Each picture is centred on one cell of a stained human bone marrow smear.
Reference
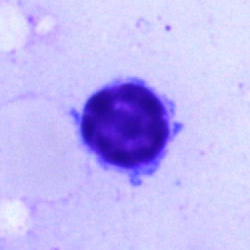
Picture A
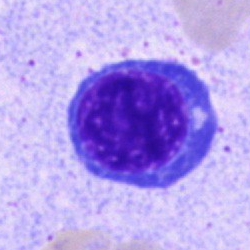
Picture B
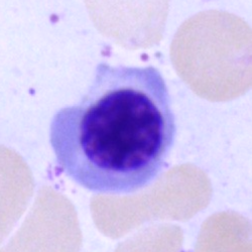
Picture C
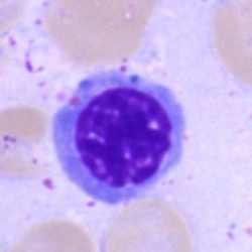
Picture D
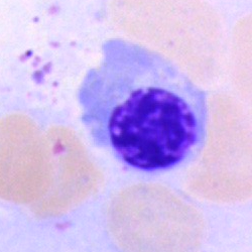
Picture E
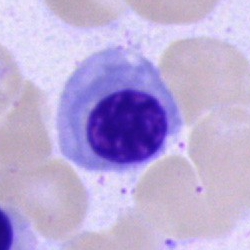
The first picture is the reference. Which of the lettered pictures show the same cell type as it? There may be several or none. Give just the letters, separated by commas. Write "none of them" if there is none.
none of them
